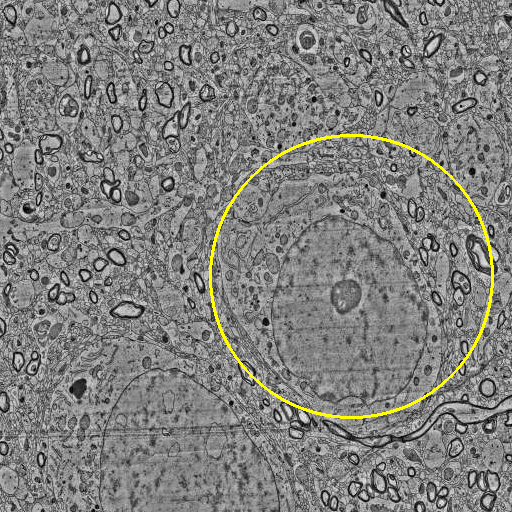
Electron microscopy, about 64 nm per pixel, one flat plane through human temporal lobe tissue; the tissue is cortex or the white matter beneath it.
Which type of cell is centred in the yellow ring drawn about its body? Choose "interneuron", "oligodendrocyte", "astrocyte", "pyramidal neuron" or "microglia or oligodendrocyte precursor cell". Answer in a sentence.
The yellow ring surrounds the cell body of an interneuron.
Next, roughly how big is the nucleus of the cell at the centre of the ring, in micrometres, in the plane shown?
In this plane, approximately 12 by 10 micrometers.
